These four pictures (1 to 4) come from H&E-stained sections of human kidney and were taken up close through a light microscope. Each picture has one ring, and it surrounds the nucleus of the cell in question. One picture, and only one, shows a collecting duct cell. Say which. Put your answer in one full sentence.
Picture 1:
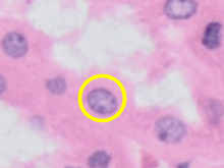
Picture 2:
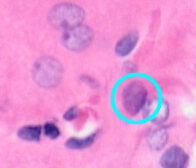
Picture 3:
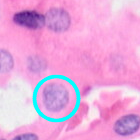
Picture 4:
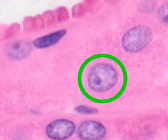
The picture with the collecting duct cell is 3.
